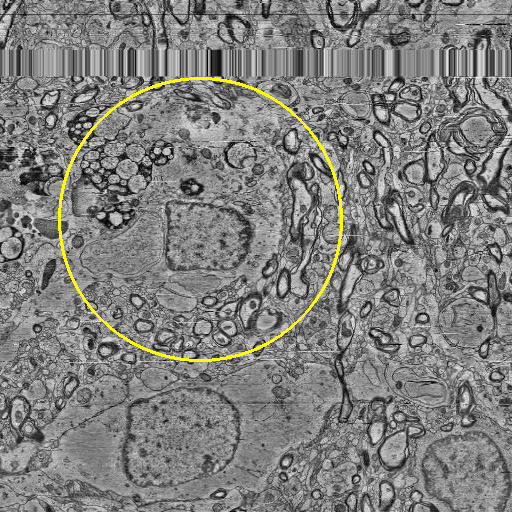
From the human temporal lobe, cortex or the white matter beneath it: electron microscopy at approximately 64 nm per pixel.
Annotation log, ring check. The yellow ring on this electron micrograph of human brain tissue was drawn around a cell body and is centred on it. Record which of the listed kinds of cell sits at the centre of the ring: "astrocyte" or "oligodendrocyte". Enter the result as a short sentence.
The cell at the centre of the ring is an astrocyte.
